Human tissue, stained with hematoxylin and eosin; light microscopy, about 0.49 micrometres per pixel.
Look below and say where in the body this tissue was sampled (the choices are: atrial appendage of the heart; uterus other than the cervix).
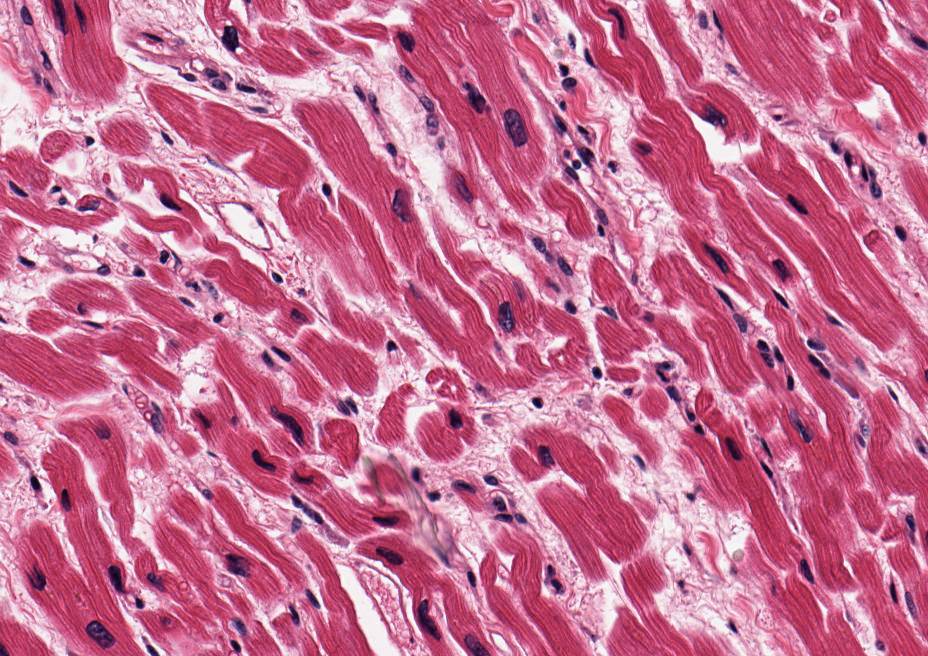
atrial appendage of the heart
